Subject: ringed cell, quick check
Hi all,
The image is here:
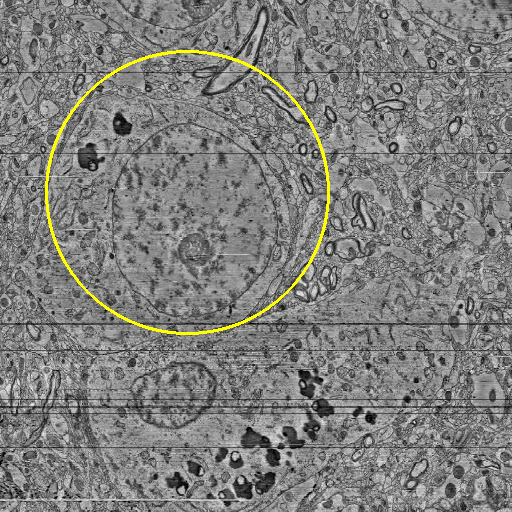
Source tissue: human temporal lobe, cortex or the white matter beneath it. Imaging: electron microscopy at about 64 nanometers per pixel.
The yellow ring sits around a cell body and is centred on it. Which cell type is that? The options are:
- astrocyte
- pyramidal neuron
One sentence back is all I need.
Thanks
That ringed cell is a pyramidal neuron.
